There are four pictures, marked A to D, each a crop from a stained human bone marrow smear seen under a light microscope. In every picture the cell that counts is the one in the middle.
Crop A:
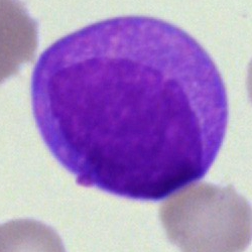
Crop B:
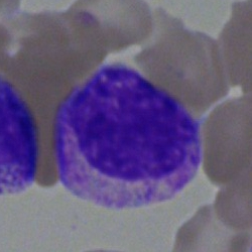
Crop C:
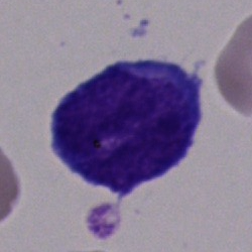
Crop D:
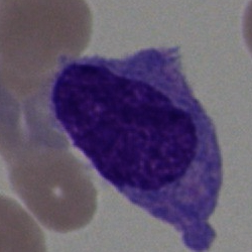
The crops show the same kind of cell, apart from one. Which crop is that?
B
